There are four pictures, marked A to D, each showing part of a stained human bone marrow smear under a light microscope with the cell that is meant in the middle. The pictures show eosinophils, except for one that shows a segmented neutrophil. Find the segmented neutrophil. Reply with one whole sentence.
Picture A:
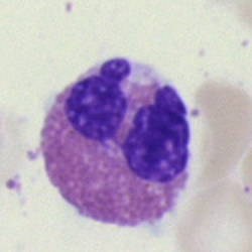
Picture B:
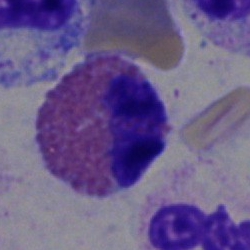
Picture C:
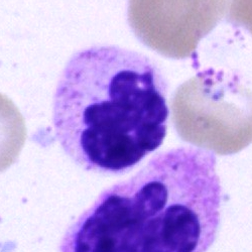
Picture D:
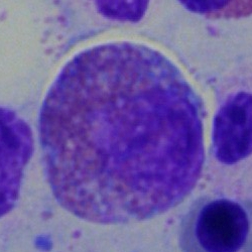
The segmented neutrophil is the one in picture C.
